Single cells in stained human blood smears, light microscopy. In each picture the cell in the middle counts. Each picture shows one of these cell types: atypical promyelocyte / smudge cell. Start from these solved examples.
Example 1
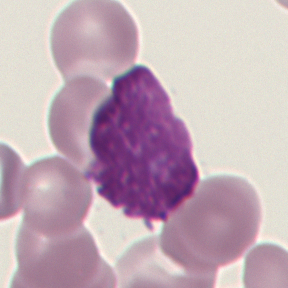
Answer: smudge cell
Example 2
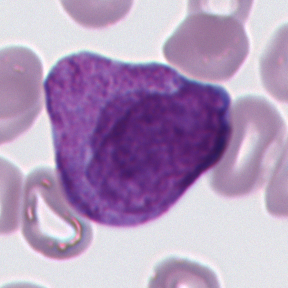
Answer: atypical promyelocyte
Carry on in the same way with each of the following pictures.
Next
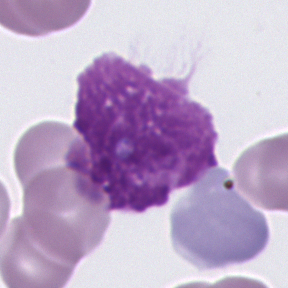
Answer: smudge cell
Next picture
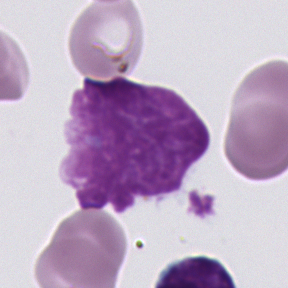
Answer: smudge cell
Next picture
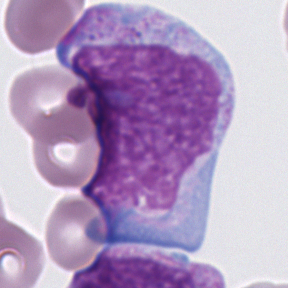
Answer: atypical promyelocyte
